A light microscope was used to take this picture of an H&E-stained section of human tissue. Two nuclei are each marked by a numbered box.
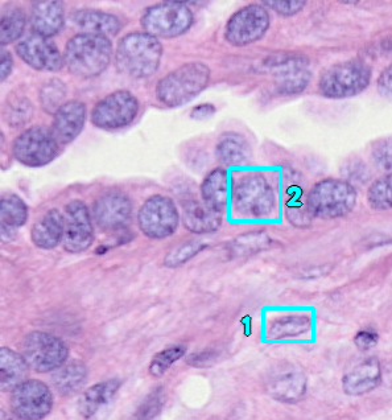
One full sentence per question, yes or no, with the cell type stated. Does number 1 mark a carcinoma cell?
No, cell 1 is not a carcinoma cell: it is a fibroblast.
